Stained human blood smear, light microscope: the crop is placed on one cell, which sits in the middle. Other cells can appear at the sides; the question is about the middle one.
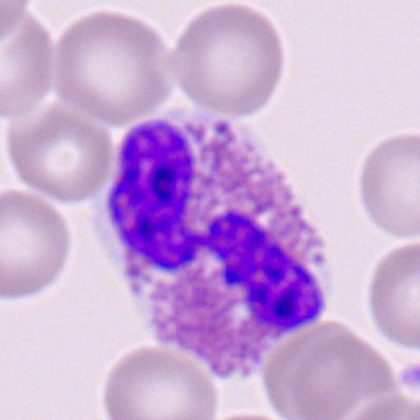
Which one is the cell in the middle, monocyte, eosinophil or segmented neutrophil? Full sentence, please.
Here the cell in the middle is an eosinophil.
